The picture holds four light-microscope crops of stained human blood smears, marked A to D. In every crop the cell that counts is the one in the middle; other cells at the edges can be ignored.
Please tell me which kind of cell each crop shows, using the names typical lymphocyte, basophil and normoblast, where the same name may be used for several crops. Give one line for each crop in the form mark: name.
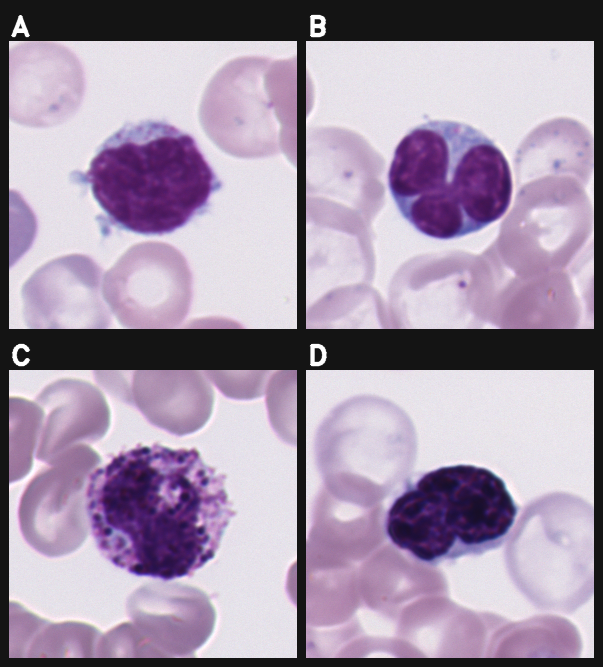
A: typical lymphocyte
B: typical lymphocyte
C: basophil
D: normoblast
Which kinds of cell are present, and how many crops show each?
typical lymphocyte: 2
basophil: 1
normoblast: 1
